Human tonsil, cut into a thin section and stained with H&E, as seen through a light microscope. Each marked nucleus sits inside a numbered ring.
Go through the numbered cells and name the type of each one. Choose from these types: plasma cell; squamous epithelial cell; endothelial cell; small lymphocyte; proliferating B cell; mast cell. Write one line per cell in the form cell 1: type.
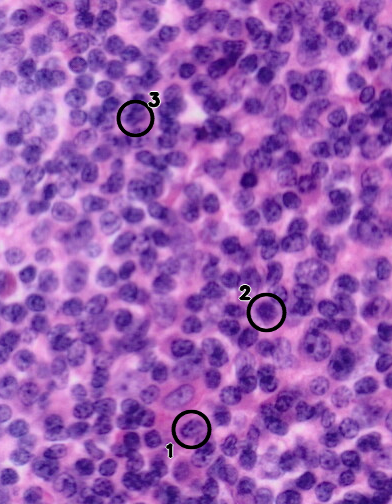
cell 1: plasma cell
cell 2: proliferating B cell
cell 3: small lymphocyte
